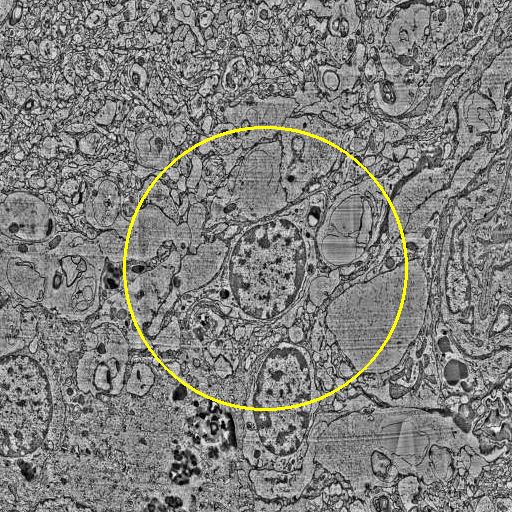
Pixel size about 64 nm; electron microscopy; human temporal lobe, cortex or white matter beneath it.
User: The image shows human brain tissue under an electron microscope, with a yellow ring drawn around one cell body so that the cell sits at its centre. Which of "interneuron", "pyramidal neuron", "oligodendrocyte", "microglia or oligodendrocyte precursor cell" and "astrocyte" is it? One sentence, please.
At the centre of the ring sits a microglial cell or oligodendrocyte precursor cell.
